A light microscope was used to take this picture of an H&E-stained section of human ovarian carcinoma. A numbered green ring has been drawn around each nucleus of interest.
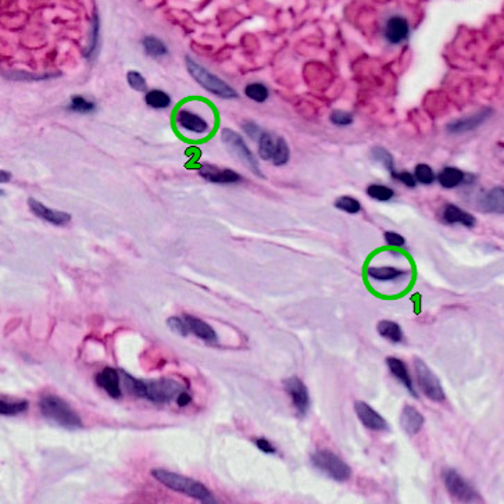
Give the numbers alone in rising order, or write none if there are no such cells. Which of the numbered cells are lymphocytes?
2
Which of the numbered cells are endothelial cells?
none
